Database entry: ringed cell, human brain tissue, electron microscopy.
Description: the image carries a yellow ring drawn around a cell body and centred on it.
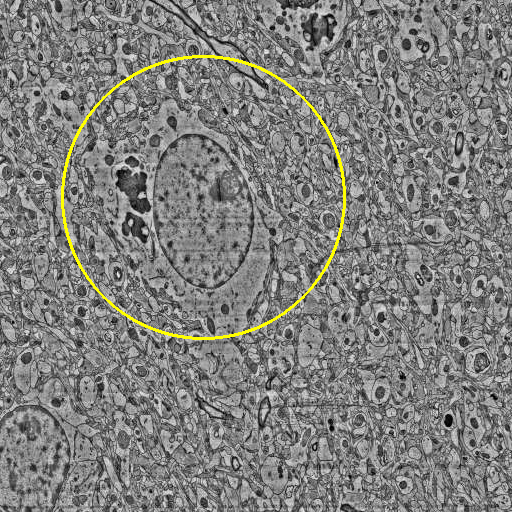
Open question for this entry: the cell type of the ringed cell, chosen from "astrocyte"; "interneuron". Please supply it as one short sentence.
The ringed cell is an astrocyte.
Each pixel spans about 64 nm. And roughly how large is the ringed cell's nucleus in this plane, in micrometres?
Roughly 10 by 6 micrometres; in this plane, clearly longer than it is wide.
